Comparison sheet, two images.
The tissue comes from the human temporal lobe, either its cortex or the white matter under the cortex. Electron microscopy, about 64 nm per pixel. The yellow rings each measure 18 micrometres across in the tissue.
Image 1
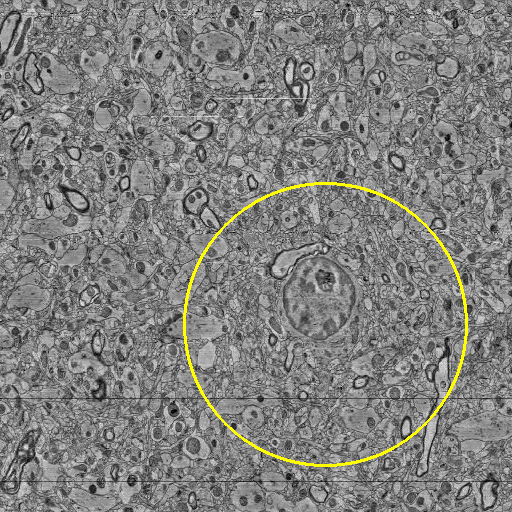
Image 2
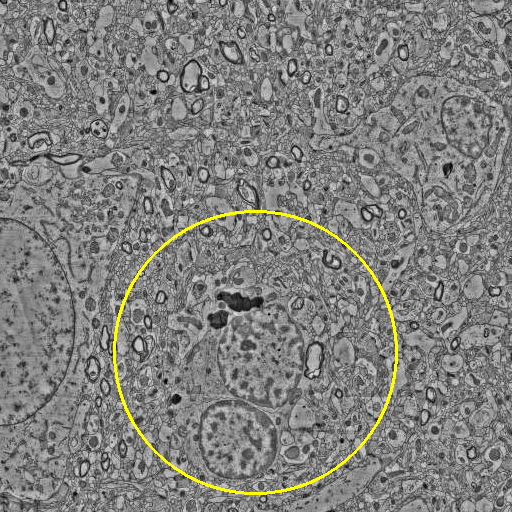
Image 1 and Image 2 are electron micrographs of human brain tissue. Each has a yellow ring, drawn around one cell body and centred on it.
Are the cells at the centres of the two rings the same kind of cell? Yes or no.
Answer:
yes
